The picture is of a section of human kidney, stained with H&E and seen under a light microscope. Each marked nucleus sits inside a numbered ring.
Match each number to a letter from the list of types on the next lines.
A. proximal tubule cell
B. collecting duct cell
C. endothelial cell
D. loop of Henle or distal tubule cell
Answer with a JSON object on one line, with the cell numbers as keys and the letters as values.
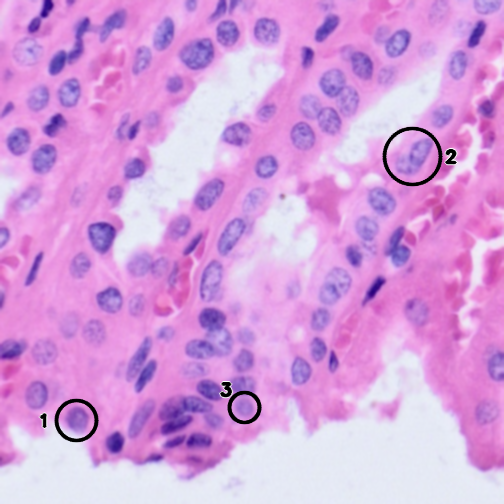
{"1": "D", "2": "B", "3": "B"}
